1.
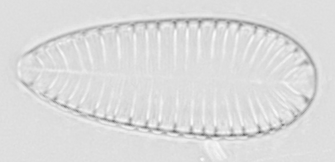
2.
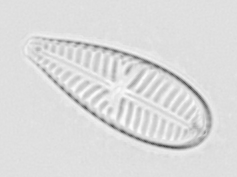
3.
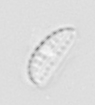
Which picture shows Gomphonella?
Picture 2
